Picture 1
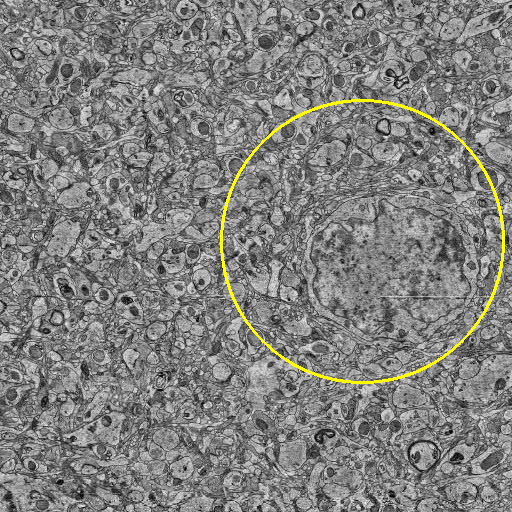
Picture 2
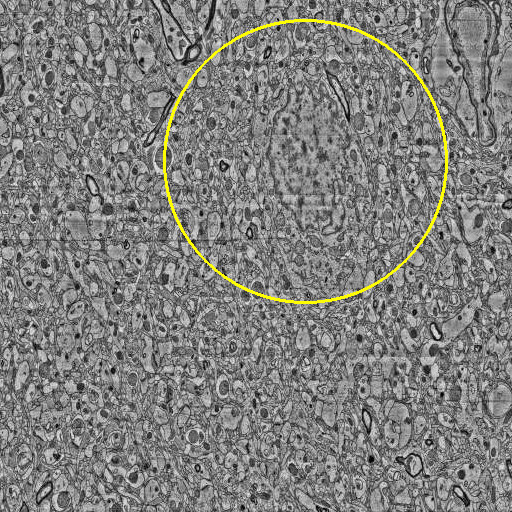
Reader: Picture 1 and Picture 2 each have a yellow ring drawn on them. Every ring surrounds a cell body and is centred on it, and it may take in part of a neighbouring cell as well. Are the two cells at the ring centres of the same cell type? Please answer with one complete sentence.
Yes, both cells are of the same cell type.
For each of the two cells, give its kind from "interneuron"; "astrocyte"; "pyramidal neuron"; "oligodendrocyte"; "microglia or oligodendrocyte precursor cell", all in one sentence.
Both cells are the same kind, each one being an interneuron.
